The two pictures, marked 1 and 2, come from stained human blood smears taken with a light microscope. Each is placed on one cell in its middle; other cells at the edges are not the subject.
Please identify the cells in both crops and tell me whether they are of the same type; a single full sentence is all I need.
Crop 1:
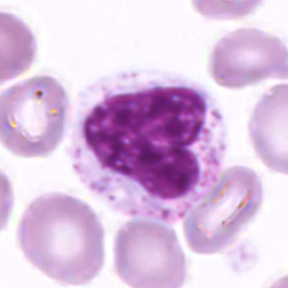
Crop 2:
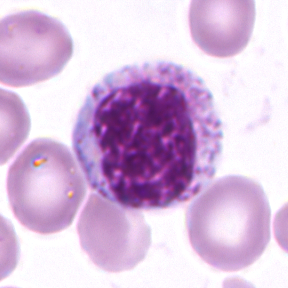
No, it is a band neutrophil that crop 1 shows, and a metamyelocyte that crop 2 shows.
